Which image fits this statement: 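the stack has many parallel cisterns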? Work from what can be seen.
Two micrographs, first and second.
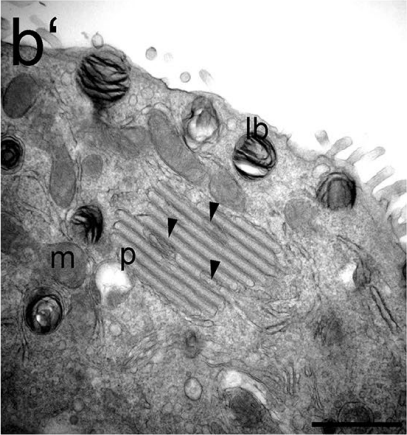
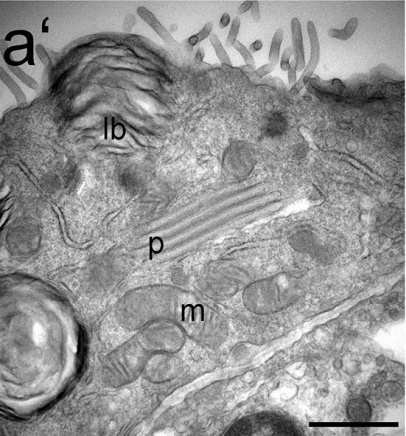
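First image: a broad stack of many parallel flat cisterns. Second image: a narrow stack of only a few parallel flat cisterns.
Hence: the first image.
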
